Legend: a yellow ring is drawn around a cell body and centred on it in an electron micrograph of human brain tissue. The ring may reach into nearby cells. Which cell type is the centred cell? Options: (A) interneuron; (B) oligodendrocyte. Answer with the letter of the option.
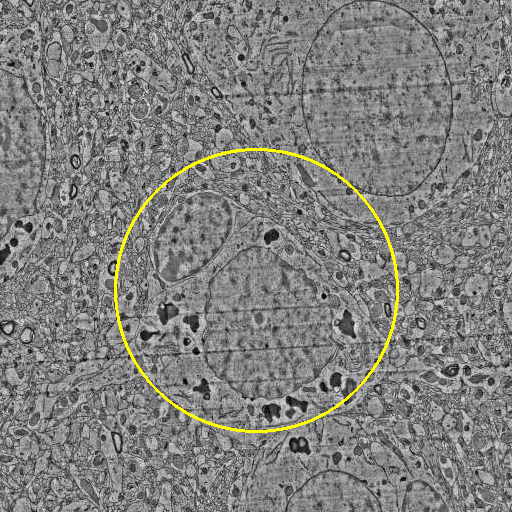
A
